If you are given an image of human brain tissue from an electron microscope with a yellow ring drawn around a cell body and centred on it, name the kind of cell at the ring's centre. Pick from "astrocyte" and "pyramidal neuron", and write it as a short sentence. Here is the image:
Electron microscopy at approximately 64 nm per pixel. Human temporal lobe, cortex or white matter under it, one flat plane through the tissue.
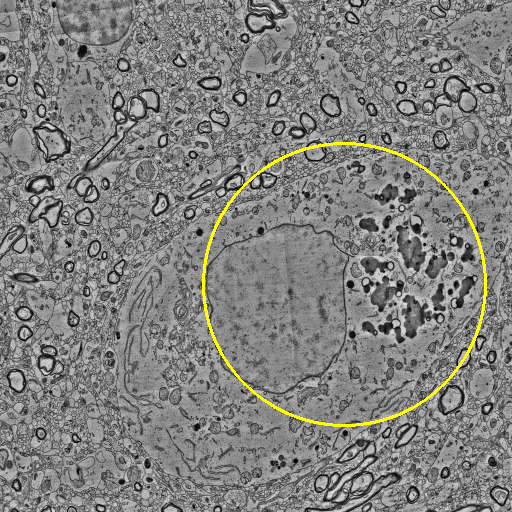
The cell at the ring's centre is a pyramidal neuron.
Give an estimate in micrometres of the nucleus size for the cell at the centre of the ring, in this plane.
In this plane the nucleus measures roughly 11 by 10 micrometers.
